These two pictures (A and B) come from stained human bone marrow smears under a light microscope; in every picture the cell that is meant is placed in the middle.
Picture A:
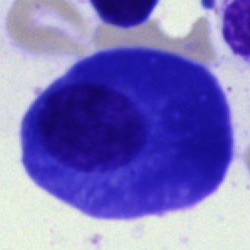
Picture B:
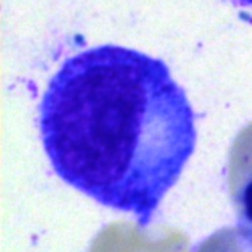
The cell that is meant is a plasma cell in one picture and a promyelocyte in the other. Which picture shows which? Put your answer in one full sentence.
The cell in picture A is a plasma cell, and the one in picture B is a promyelocyte.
